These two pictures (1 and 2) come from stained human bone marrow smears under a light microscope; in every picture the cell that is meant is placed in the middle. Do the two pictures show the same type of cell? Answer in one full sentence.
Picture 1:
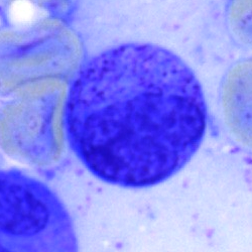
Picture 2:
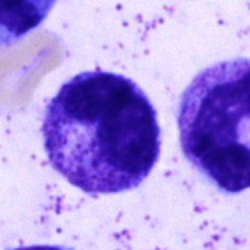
Yes, both are metamyelocytes.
